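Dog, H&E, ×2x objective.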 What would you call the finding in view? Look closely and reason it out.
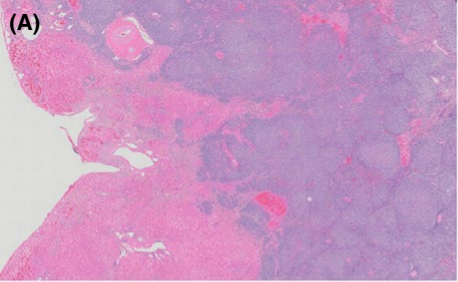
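Abnormal follicular pattern. The purple mass is divided into rounded nodular zones of differing tone. Crowded nodules lack a normal organised arrangement.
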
